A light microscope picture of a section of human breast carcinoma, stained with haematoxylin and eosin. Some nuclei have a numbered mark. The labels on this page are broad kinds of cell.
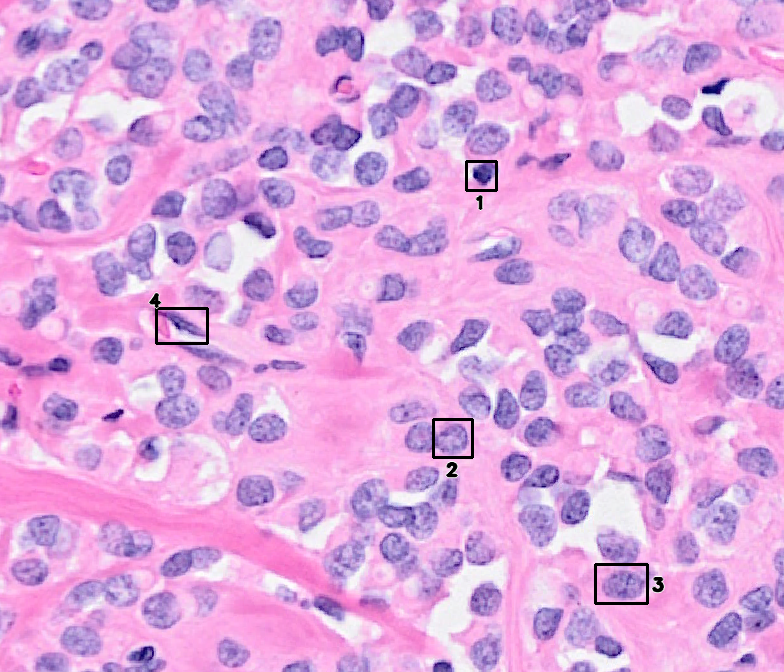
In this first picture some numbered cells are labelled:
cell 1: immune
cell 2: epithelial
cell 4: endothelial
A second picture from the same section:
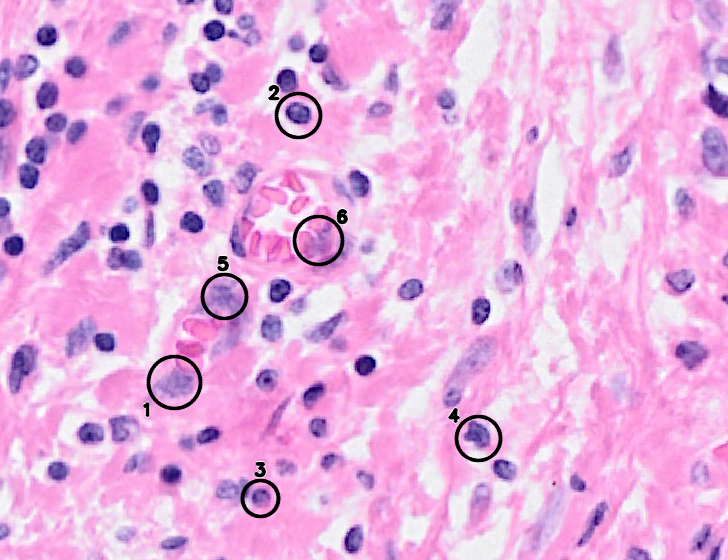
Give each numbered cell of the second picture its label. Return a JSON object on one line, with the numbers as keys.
{"1": "endothelial", "2": "immune", "3": "immune", "4": "immune", "5": "endothelial", "6": "endothelial"}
